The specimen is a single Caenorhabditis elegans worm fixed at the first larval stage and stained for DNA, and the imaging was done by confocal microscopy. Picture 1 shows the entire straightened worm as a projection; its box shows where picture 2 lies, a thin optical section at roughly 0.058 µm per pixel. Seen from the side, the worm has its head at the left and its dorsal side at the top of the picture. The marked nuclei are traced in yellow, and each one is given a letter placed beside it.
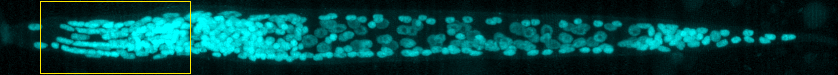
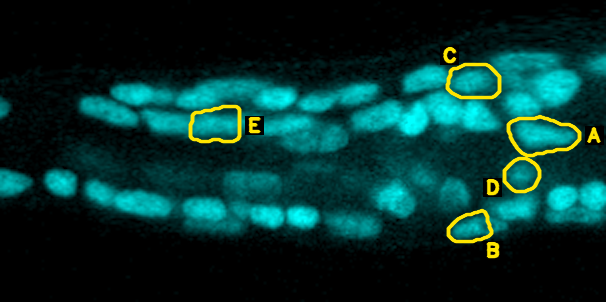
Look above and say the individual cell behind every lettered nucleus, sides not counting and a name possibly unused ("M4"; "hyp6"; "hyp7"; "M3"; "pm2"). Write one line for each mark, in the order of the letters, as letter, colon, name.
A: M4
B: hyp7
C: hyp6
D: M3
E: pm2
